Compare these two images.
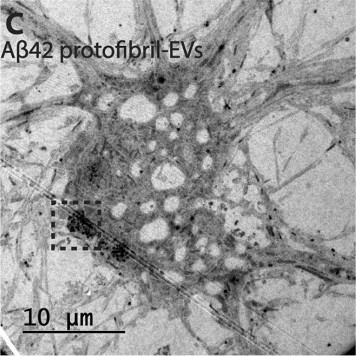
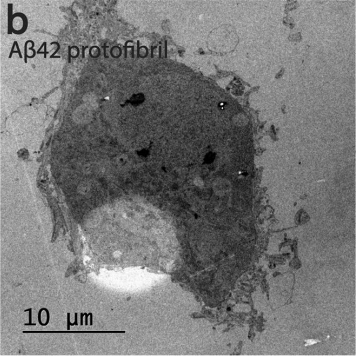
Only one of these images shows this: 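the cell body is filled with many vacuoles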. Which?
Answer: The first image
